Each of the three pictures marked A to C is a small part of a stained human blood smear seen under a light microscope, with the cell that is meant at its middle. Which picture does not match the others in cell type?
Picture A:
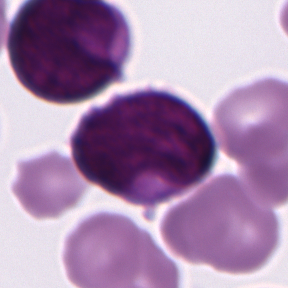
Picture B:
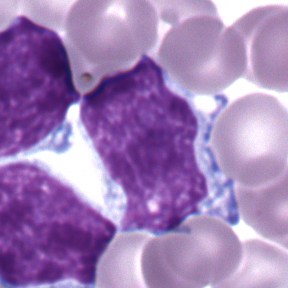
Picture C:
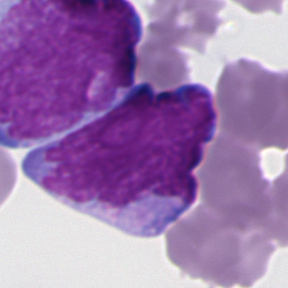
B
